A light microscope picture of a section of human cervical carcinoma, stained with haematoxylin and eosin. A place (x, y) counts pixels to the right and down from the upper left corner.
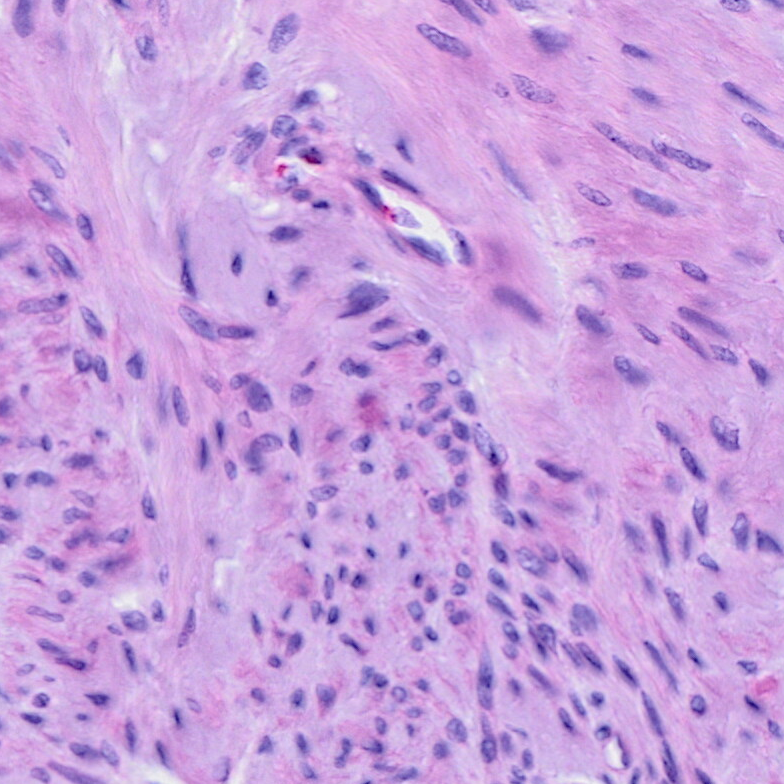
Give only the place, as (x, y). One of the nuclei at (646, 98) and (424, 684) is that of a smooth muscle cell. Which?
(424, 684)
